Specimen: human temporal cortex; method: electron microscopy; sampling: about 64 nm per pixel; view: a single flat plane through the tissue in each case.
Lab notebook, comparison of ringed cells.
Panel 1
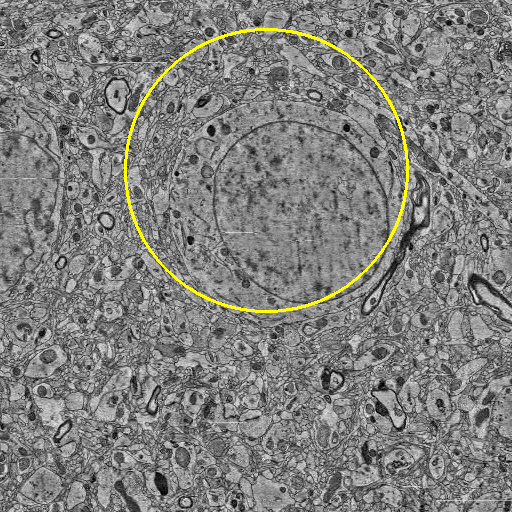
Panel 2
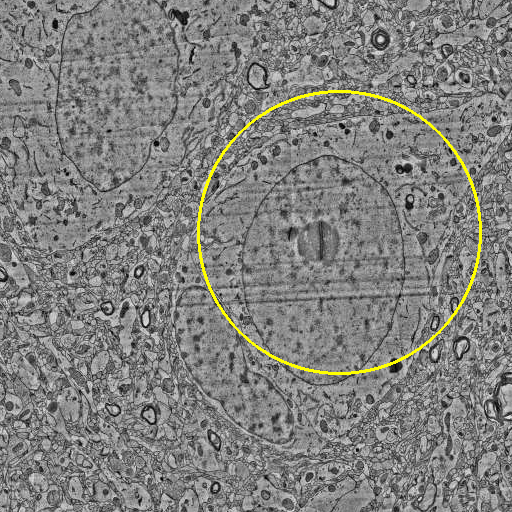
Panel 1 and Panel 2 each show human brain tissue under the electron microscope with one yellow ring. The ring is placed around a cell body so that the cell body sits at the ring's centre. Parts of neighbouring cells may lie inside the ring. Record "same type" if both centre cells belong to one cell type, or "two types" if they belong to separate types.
same type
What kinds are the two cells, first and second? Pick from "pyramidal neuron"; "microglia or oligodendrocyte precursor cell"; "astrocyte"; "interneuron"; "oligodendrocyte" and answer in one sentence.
The second cell is a pyramidal neuron, just as the first is.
